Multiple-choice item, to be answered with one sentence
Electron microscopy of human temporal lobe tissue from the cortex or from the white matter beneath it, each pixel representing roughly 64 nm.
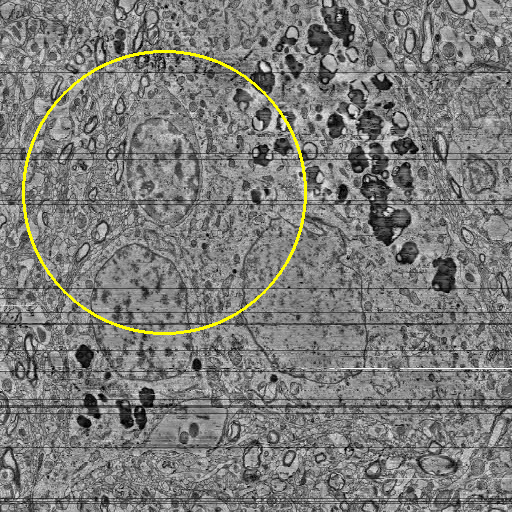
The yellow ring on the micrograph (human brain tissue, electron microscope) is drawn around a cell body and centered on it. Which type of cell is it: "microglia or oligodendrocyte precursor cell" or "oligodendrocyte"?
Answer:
The ring is centered on an oligodendrocyte.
